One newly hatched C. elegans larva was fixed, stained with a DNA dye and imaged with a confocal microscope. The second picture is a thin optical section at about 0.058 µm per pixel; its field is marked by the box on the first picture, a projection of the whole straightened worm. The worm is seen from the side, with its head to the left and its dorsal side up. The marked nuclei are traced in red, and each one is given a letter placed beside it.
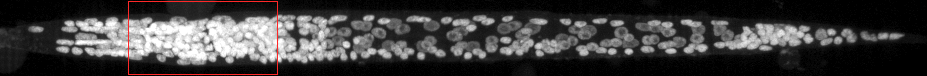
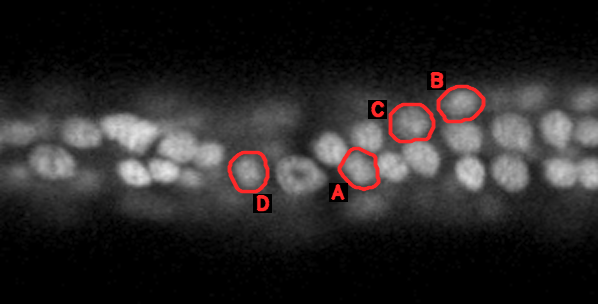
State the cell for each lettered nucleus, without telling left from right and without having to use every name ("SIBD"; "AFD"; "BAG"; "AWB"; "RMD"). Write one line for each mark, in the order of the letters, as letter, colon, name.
A: RMD
B: AWB
C: AFD
D: BAG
